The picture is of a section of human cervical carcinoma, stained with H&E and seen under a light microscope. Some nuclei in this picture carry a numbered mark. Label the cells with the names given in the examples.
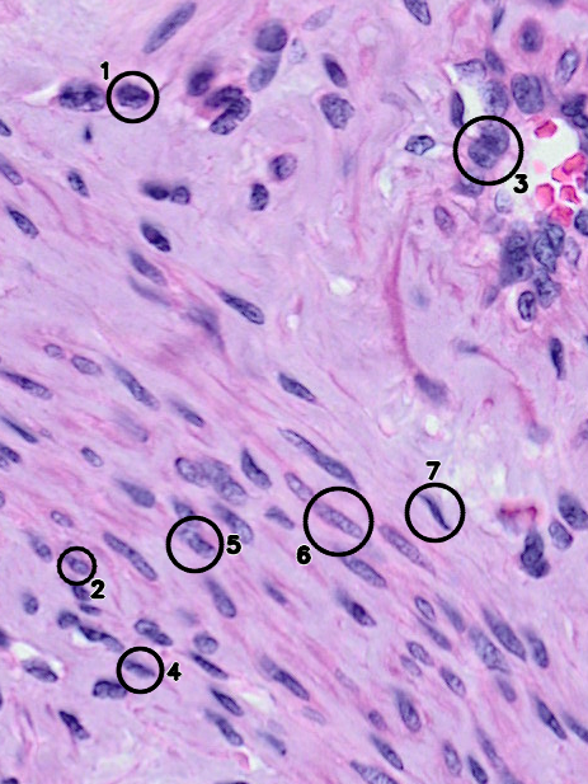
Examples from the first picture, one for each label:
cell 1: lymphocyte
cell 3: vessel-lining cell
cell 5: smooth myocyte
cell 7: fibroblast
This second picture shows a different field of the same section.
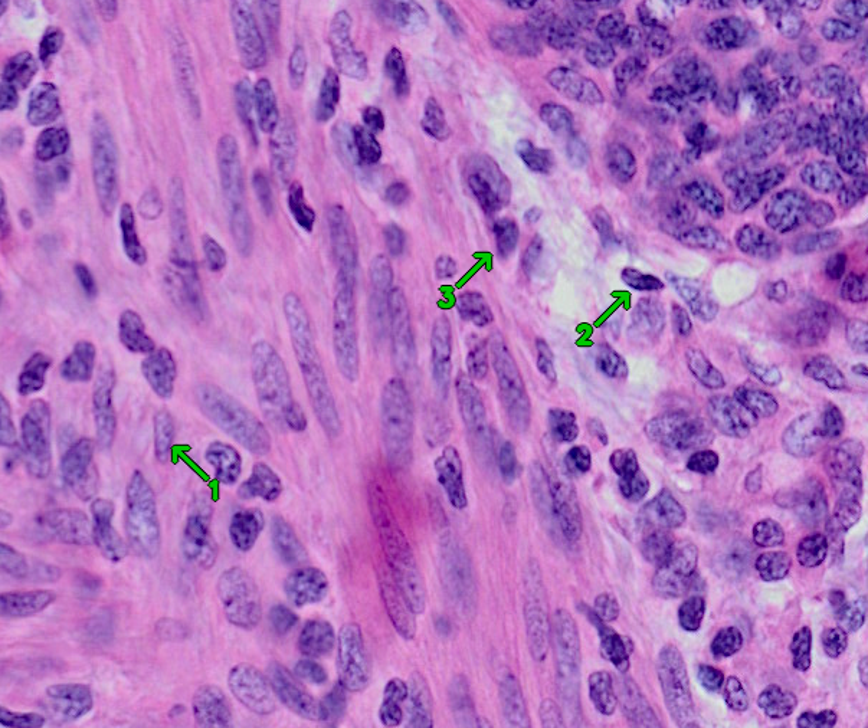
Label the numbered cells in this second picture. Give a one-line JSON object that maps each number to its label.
{"1": "smooth myocyte", "2": "lymphocyte", "3": "lymphocyte"}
